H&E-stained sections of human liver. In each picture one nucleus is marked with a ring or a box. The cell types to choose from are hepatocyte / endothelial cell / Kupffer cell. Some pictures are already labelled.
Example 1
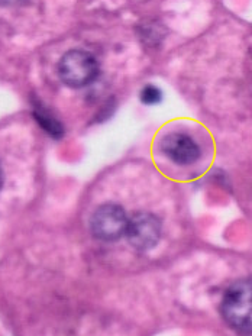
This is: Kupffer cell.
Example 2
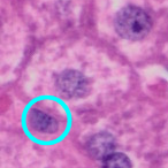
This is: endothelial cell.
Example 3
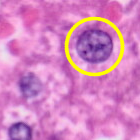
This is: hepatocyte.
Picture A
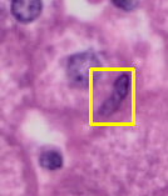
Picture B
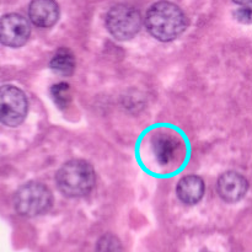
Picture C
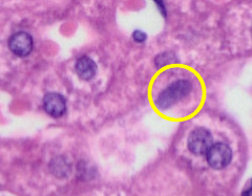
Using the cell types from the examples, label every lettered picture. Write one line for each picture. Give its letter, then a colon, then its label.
A: Kupffer cell.
B: endothelial cell.
C: Kupffer cell.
